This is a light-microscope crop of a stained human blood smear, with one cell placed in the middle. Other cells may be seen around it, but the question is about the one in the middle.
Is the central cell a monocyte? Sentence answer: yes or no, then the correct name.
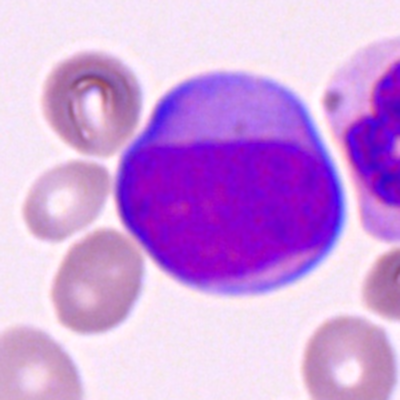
No, it is not a monocyte that sits at the centre but a myeloblast.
